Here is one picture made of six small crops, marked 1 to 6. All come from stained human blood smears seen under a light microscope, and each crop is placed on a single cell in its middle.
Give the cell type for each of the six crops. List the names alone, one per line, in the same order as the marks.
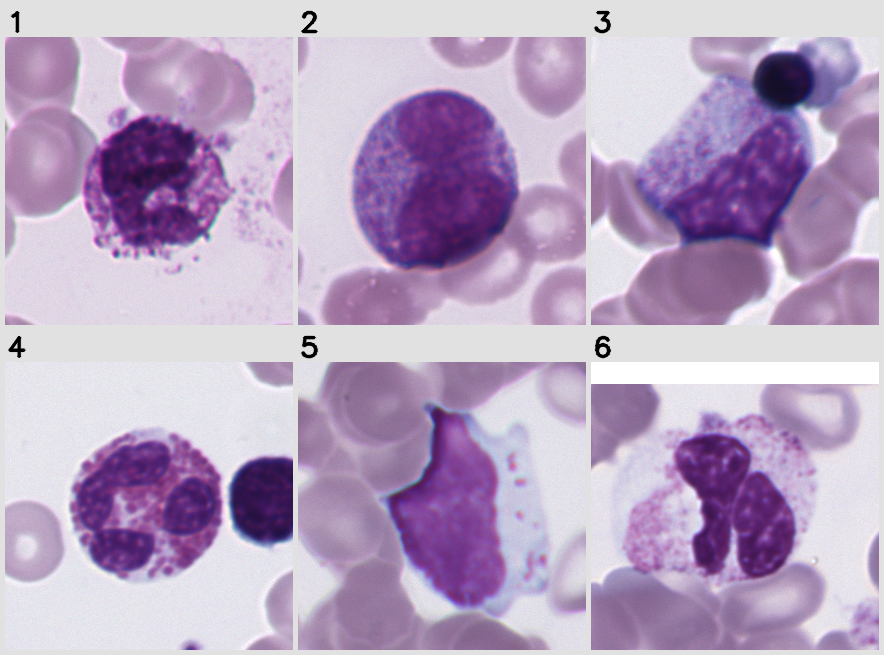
basophil
promyelocyte
promyelocyte
eosinophil
large granular lymphocyte
segmented neutrophil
